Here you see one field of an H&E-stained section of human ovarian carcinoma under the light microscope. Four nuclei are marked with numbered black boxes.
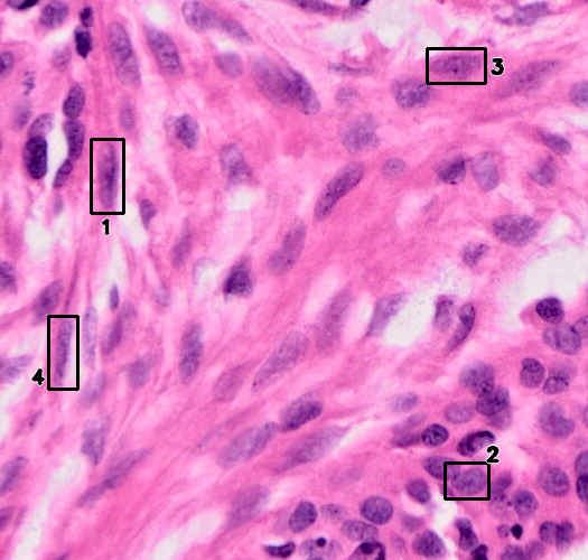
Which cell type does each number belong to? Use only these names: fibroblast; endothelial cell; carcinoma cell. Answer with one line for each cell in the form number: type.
1: fibroblast
2: carcinoma cell
3: fibroblast
4: fibroblast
